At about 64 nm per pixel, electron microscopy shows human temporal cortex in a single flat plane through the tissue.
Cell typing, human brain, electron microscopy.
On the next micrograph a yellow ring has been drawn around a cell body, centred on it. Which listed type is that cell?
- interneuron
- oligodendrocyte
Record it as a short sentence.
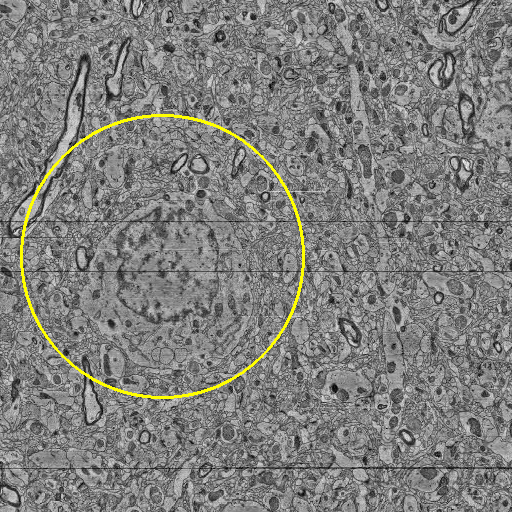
The cell body in the ring's centre belongs to an interneuron.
